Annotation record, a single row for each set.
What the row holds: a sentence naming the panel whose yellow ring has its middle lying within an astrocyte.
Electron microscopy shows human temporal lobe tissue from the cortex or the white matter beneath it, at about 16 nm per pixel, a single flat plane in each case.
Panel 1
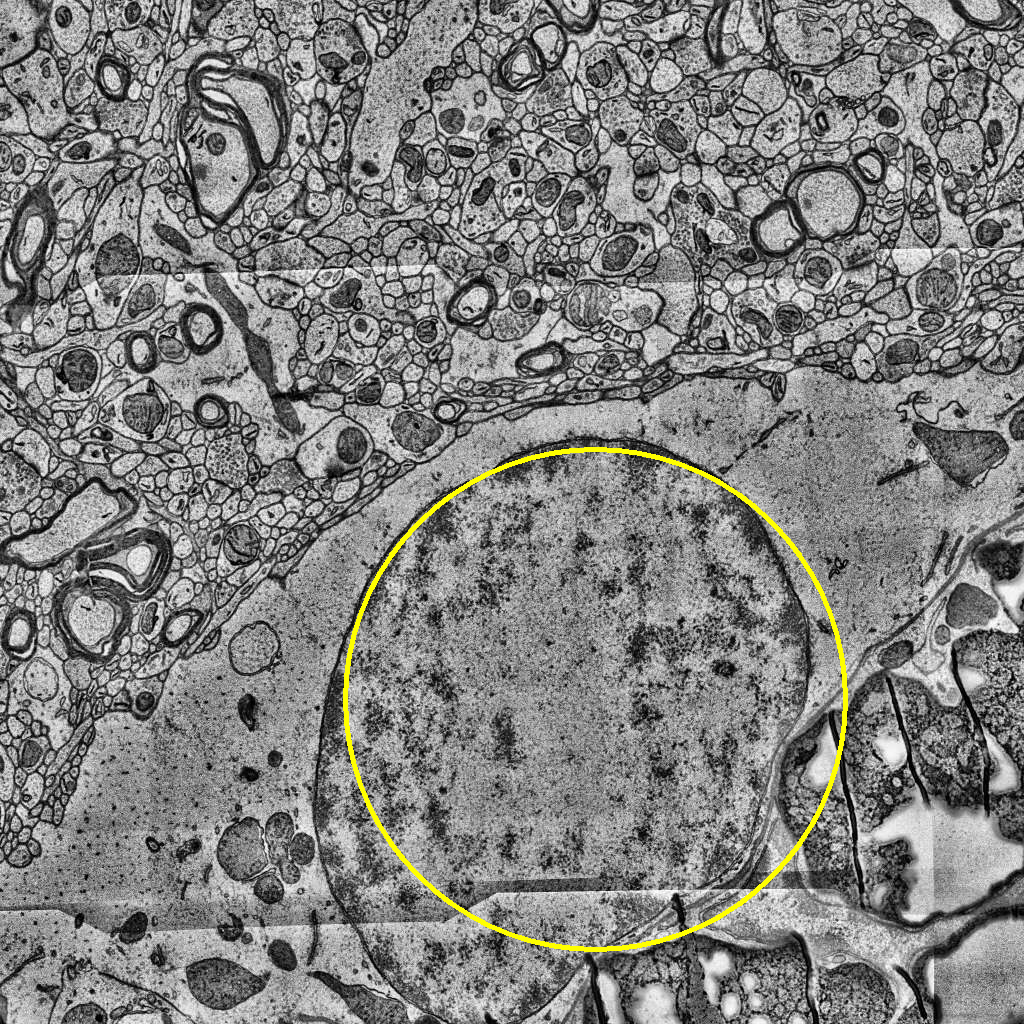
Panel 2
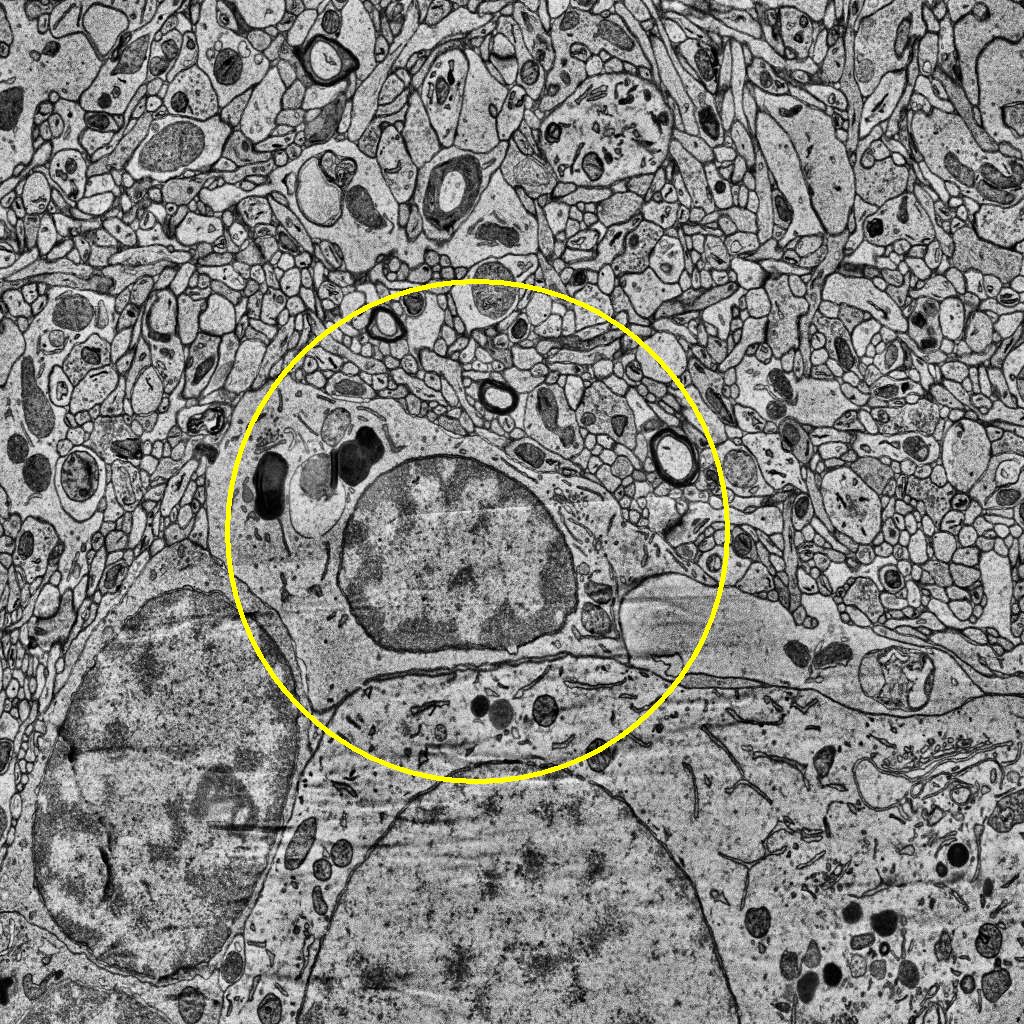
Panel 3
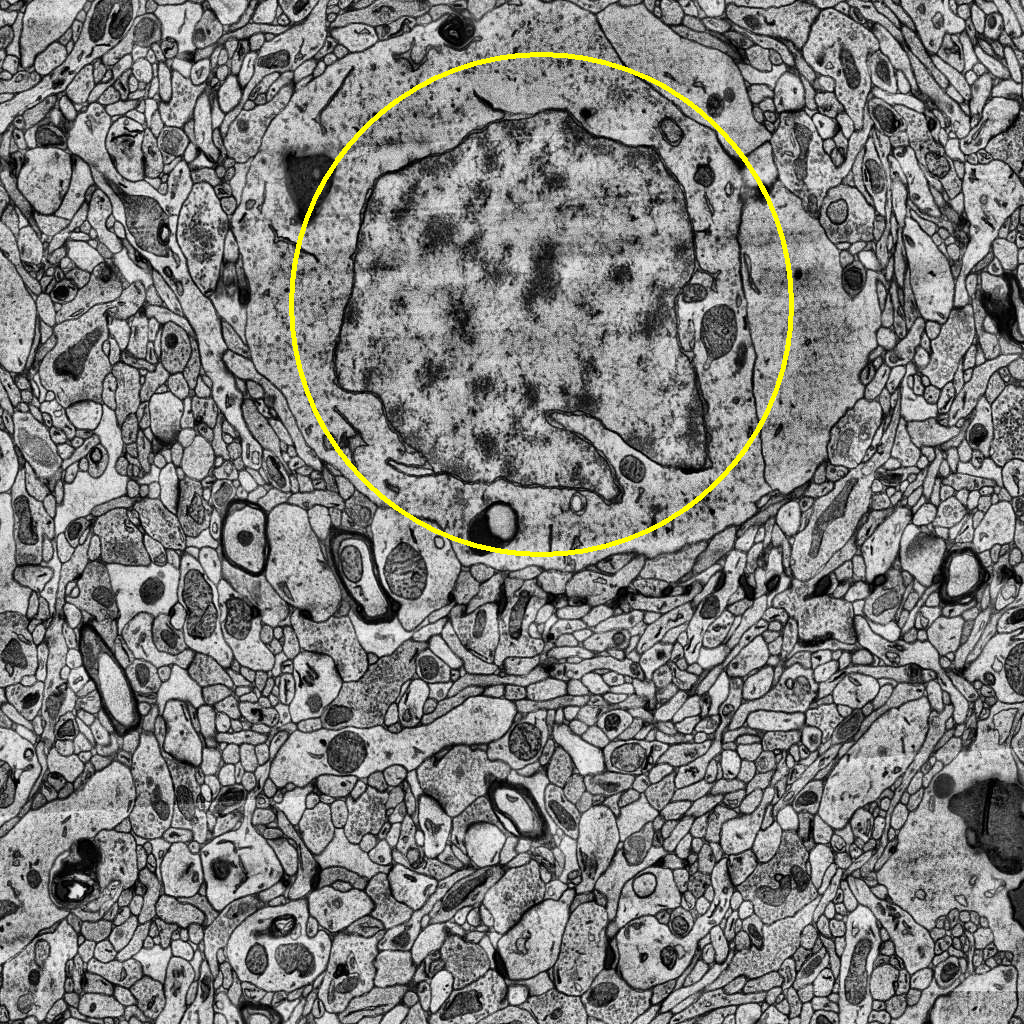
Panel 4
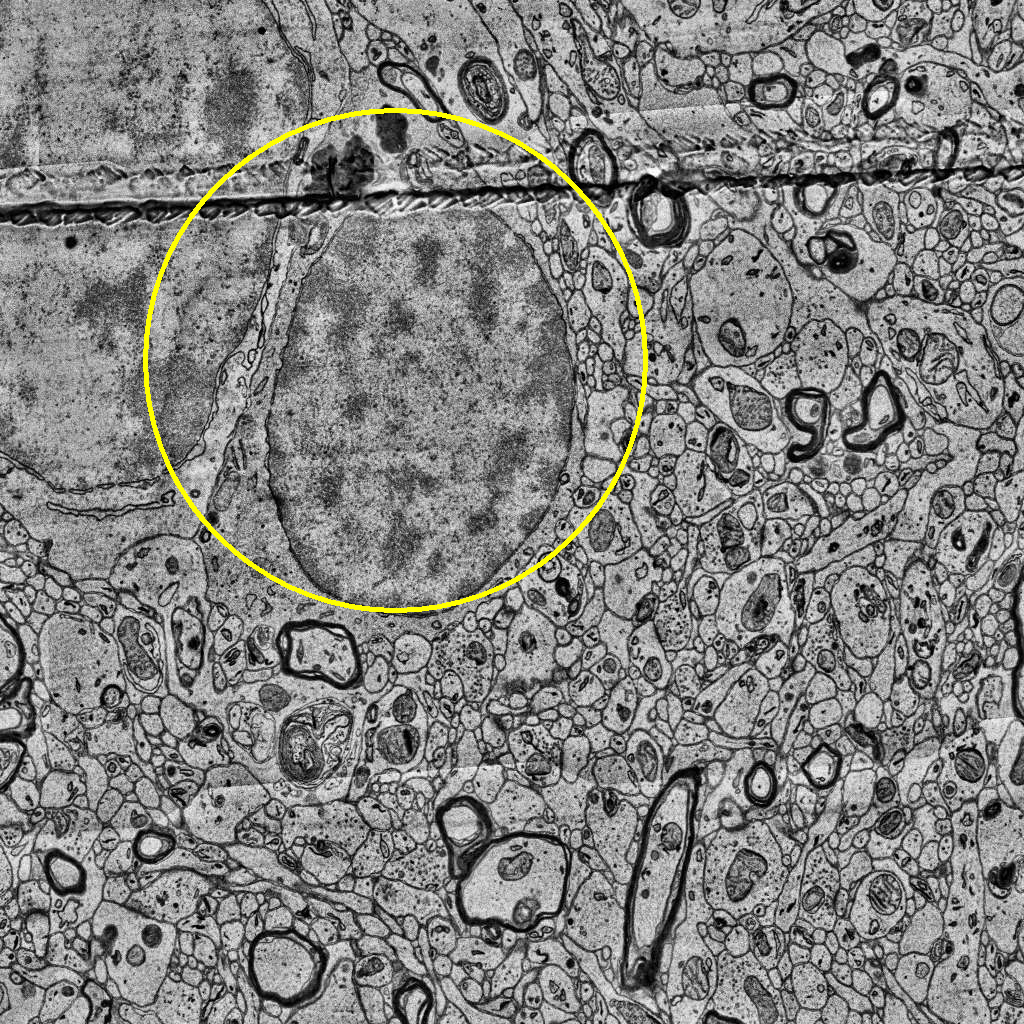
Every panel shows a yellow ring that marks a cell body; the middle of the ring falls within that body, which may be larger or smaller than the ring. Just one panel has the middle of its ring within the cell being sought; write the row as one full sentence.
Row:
In panel 1, the middle of the yellow ring lies within the cell that is sought.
